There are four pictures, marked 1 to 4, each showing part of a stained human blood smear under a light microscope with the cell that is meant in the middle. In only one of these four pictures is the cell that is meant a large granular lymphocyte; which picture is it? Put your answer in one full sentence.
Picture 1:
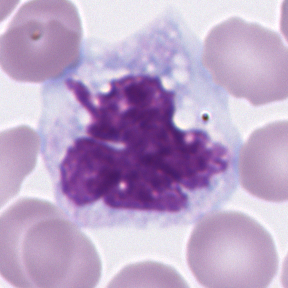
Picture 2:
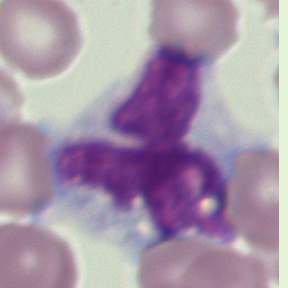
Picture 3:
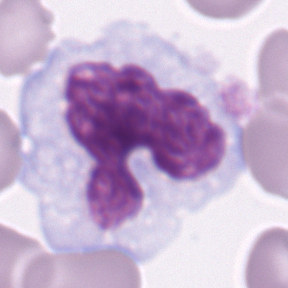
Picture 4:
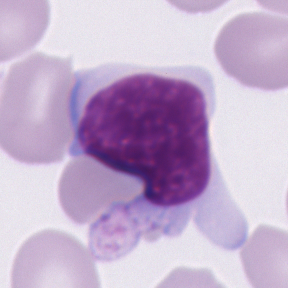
It is picture 4 that shows the large granular lymphocyte.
